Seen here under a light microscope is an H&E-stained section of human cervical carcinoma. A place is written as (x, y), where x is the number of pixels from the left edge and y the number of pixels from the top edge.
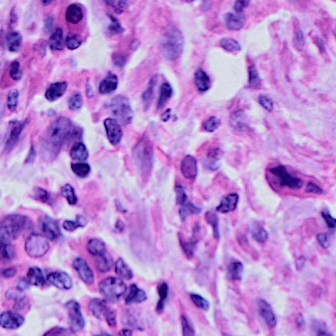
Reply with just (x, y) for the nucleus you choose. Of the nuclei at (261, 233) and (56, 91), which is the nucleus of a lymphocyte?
(56, 91)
